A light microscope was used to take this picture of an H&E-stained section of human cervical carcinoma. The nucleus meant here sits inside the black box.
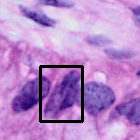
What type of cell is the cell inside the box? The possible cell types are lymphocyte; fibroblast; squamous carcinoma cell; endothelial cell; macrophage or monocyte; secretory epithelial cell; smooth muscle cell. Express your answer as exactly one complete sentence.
By cell type, the cell inside the box is a secretory epithelial cell.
